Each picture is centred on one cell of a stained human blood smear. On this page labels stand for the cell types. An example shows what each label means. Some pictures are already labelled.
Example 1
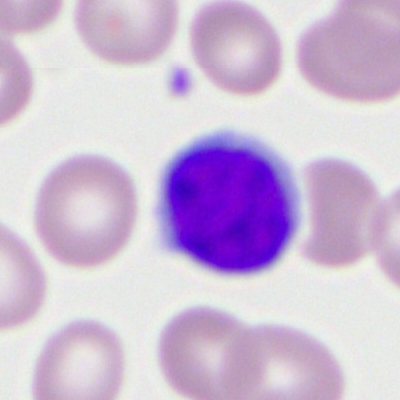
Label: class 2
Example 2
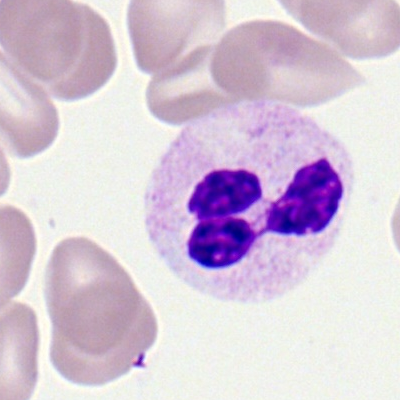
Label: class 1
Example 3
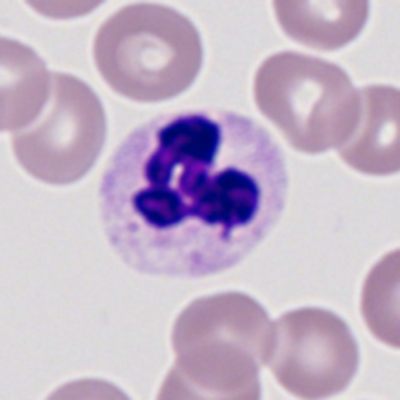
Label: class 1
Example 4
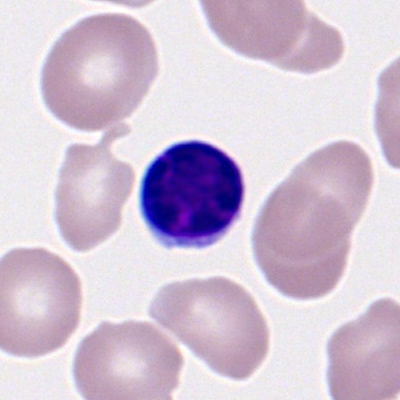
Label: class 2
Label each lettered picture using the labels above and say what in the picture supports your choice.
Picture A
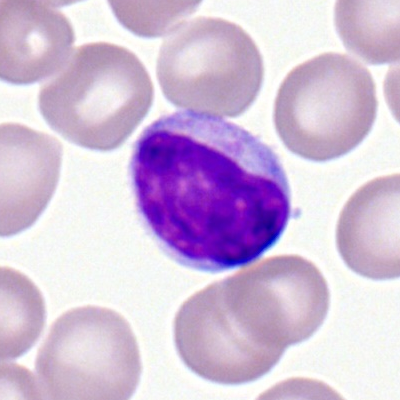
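class 2: The nucleus fills most of the cell and sits toward the lower left.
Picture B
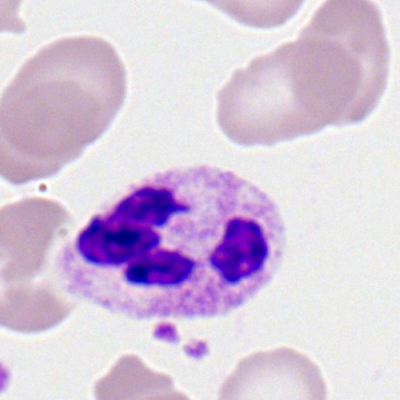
class 1: The nucleus is divided into several separate lobes.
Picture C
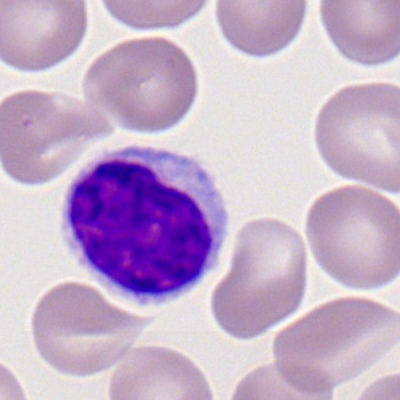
class 2: The nucleus fills most of the cell.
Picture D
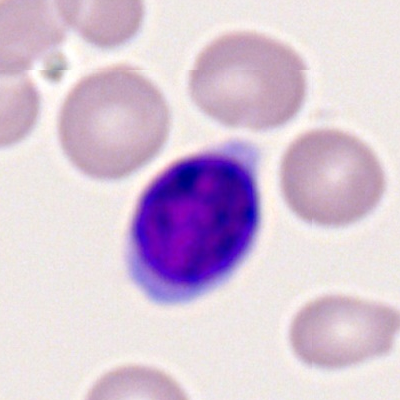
class 2: The cytoplasm forms only a narrow rim around the nucleus.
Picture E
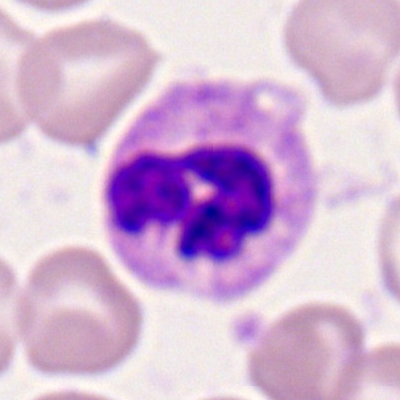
class 1: The nucleus forms two broad lobes lying side by side across the cell.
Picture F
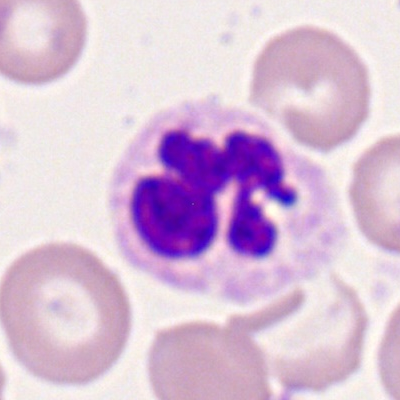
class 1: The nucleus is divided into several separate lobes.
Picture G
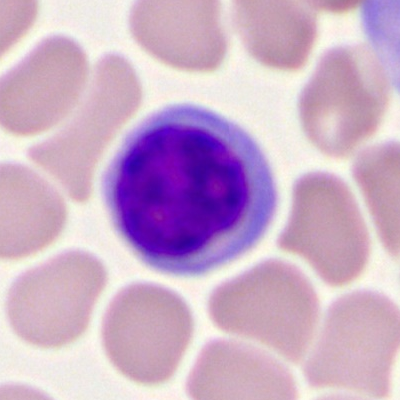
class 2: The nucleus fills most of the cell.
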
